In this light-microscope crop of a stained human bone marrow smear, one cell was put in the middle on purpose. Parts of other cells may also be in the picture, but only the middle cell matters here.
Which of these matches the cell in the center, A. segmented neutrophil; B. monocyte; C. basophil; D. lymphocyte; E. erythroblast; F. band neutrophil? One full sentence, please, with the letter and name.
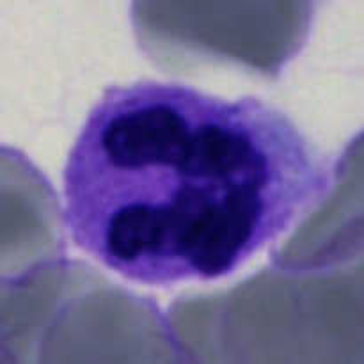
Option A is the keyed answer: the cell in the middle is a segmented neutrophil.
